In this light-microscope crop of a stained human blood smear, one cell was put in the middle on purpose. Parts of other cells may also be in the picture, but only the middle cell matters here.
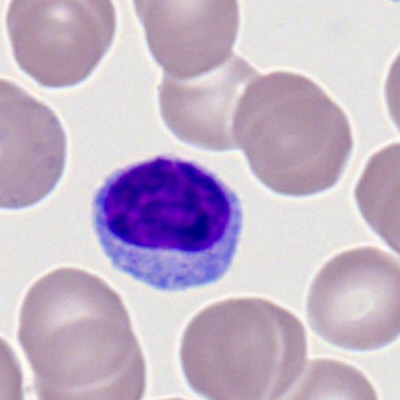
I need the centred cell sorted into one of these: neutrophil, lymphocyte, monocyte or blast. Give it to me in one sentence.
The cell marked by its central position in the crop is a lymphocyte.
